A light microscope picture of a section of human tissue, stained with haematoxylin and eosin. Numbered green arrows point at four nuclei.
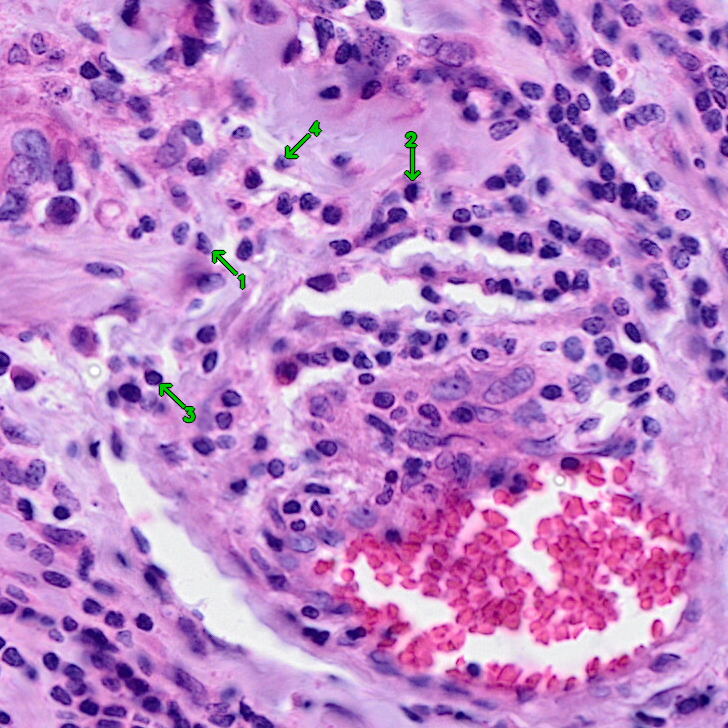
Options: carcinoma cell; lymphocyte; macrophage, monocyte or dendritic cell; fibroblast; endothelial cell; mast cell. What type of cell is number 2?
lymphocyte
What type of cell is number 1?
lymphocyte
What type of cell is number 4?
mast cell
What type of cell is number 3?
lymphocyte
